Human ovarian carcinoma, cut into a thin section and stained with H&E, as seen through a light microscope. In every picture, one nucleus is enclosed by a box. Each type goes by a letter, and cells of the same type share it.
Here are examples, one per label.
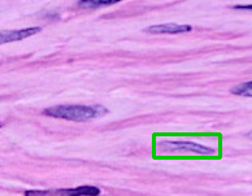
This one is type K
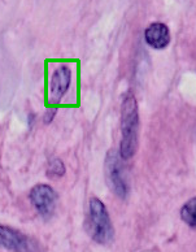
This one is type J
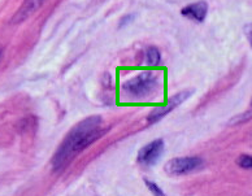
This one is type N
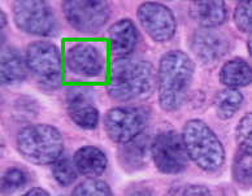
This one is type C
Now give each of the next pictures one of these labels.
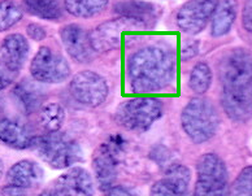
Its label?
type C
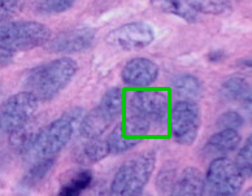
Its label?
type C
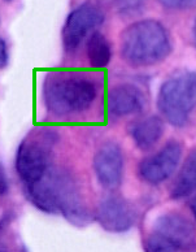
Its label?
type C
